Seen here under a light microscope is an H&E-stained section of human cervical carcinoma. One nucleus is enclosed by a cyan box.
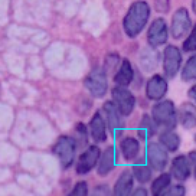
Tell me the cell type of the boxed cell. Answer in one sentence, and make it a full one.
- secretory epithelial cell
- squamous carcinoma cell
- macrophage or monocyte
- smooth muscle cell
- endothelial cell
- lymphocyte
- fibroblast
It is a secretory epithelial cell that the boxed cell represents.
